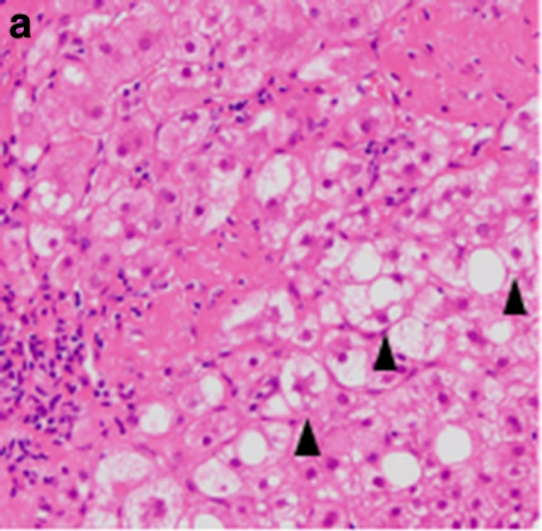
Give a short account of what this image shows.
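This liver shows hepatocytes, many of which are swollen and rounded with pale, cleared cytoplasm crossed by fine pink strands, the picture of hepatocyte ballooning. These ballooned cells are clearly larger than the nearby hepatocytes with dense pink cytoplasm and small round purple nuclei. Scattered large round empty vacuoles lie within some cells. At the left edge a dense cluster of small dark nuclei marks an inflammatory infiltrate.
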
